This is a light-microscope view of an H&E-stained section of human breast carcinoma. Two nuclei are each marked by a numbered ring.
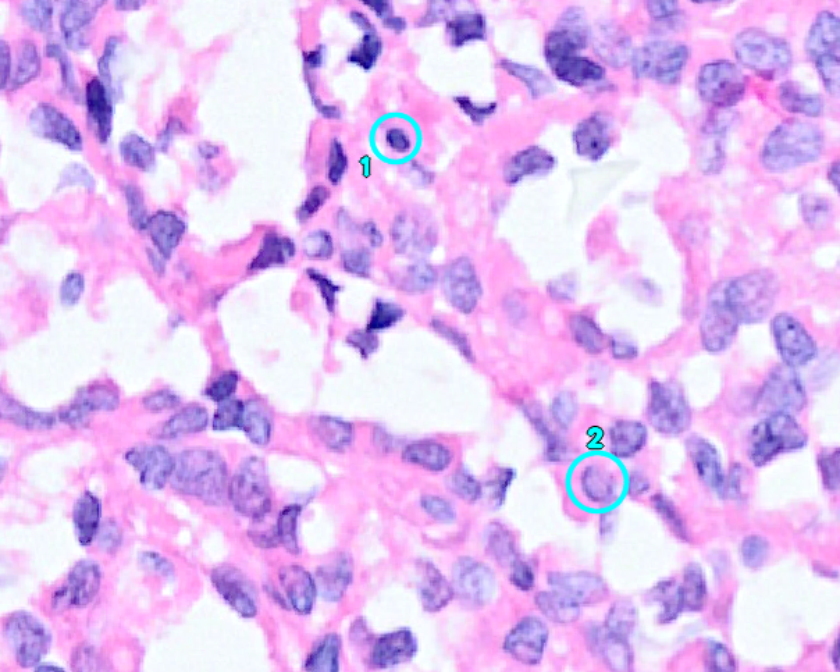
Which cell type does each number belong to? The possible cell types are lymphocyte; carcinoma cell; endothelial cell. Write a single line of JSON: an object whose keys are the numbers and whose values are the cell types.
{"1": "lymphocyte", "2": "carcinoma cell"}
